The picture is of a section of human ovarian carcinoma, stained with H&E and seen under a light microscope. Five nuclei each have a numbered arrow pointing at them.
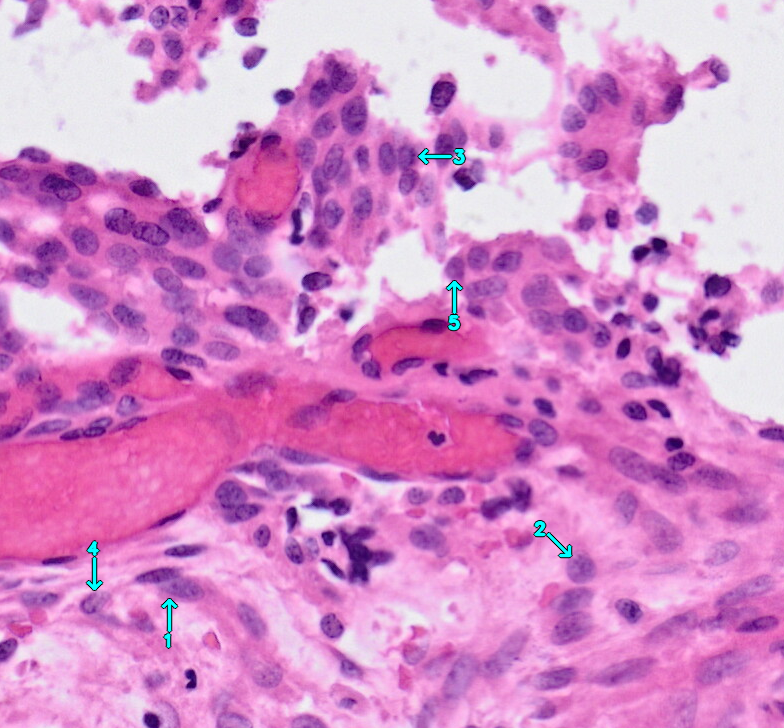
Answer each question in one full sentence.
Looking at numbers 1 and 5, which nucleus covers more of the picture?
The larger nucleus is 1, at roughly 3 times the area of 5.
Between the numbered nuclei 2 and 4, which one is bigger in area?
Nucleus 2 is the larger one, covering about 2 times the area of nucleus 4.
